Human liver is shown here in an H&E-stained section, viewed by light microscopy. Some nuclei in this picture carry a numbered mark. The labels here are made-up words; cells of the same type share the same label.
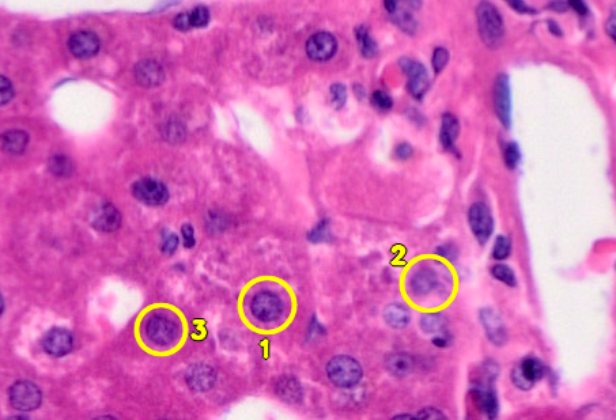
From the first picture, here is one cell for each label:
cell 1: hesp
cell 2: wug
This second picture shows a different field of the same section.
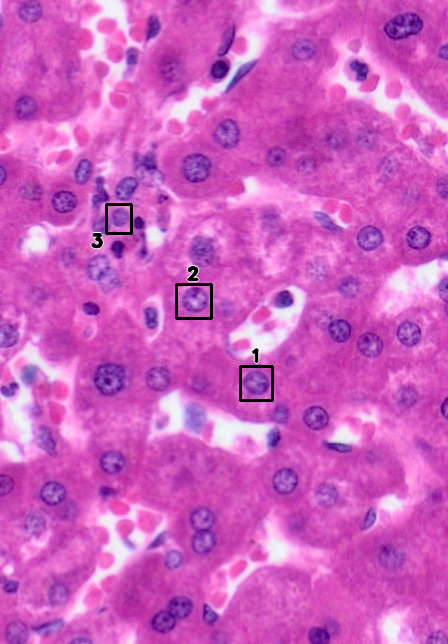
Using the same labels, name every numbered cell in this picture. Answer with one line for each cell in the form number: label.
1: hesp
2: hesp
3: wug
